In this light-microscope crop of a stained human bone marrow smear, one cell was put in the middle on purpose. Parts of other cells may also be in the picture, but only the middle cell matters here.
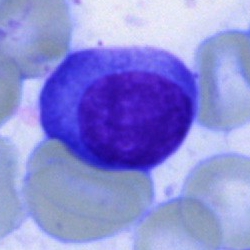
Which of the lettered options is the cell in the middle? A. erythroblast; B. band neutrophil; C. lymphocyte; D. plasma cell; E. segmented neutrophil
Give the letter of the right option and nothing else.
D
